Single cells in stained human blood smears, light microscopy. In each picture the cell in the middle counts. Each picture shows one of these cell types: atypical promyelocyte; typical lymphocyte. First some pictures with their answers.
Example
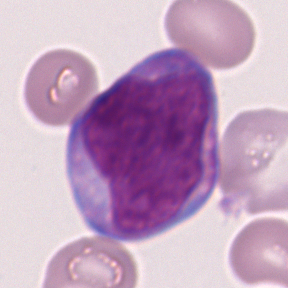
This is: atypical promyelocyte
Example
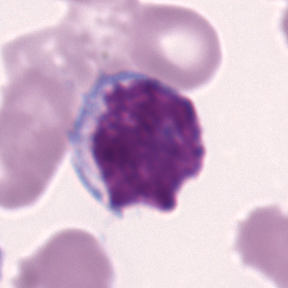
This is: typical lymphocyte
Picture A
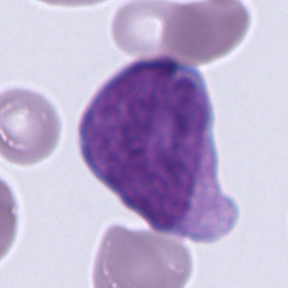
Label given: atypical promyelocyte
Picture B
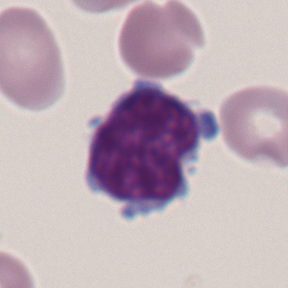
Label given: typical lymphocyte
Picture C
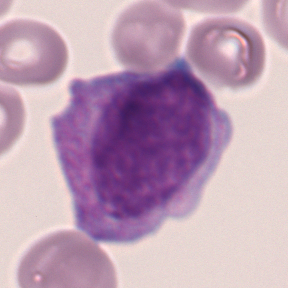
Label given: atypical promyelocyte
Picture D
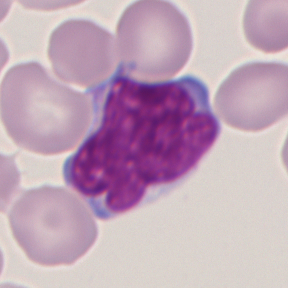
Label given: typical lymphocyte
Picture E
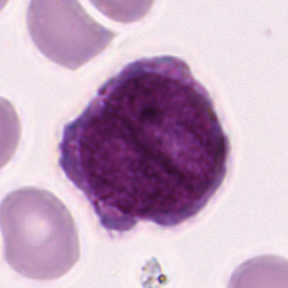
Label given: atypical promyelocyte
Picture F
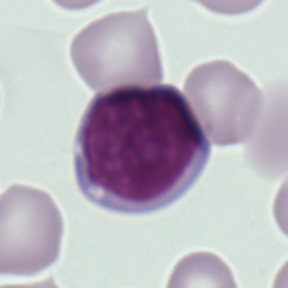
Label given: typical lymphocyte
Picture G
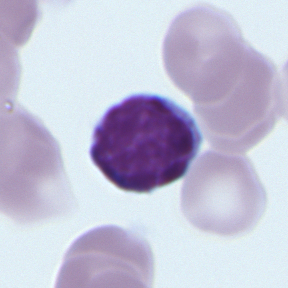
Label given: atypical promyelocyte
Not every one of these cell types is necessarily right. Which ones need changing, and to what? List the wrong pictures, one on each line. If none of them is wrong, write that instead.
G: not atypical promyelocyte but typical lymphocyte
